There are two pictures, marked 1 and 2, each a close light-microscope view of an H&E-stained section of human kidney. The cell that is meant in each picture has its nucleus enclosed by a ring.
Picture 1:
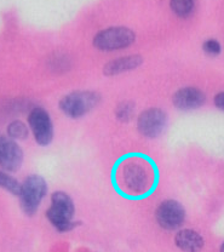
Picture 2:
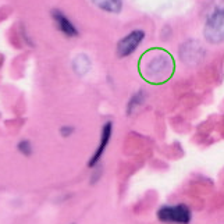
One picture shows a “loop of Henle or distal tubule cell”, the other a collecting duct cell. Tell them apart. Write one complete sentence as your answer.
Picture 1 is of a “loop of Henle or distal tubule cell”, and picture 2 is of a collecting duct cell.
